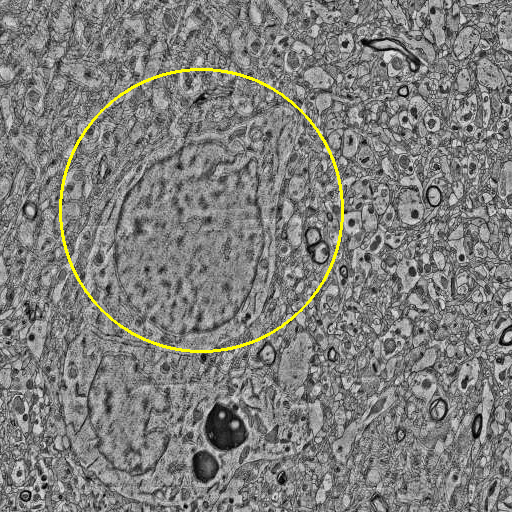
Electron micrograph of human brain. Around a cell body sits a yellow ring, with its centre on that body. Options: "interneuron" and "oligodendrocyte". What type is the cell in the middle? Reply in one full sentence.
The cell sitting at the centre of the yellow ring is an interneuron.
